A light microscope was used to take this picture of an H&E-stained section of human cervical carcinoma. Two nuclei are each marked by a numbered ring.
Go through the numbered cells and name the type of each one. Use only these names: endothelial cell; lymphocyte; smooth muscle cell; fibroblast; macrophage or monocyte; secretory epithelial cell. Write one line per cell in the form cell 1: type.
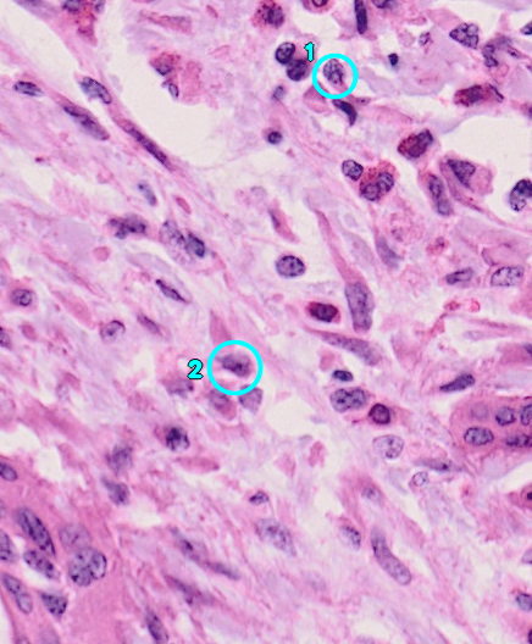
cell 1: lymphocyte
cell 2: macrophage or monocyte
